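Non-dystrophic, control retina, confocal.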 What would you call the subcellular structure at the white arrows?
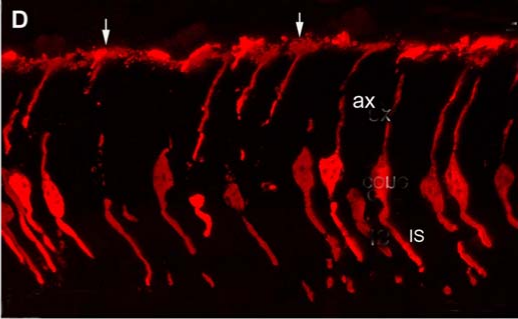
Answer: cone pedicles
